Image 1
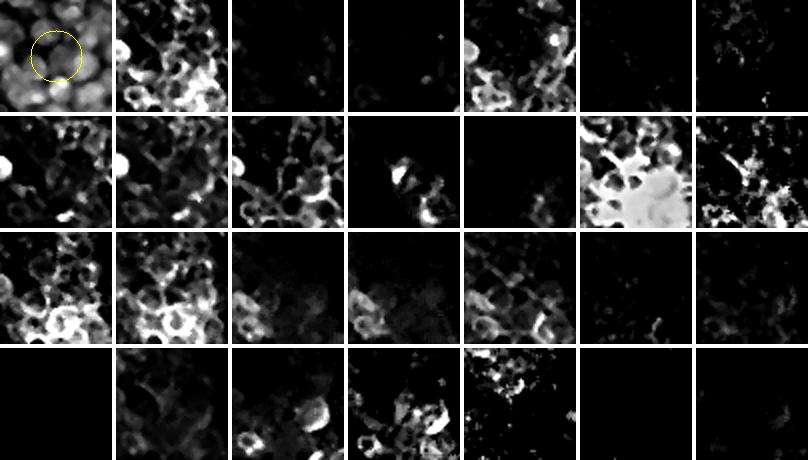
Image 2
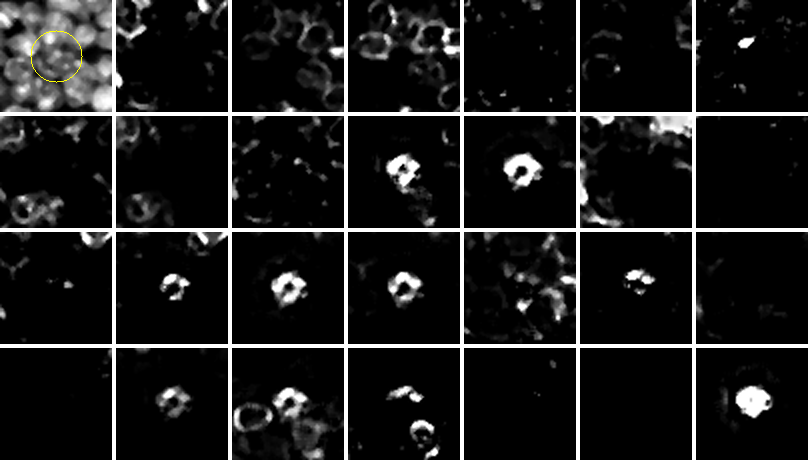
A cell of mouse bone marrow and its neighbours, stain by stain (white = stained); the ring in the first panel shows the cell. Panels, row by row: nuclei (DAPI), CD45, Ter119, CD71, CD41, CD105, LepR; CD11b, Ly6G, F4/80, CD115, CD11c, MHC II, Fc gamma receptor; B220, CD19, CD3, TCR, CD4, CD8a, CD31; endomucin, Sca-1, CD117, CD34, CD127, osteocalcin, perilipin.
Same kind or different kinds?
Different: the first is a monocyte, the second a double-negative T cell.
